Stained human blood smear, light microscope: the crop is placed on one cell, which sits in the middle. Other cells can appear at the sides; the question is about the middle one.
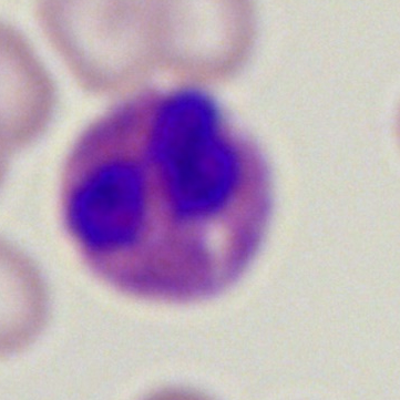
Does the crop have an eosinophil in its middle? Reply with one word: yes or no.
yes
